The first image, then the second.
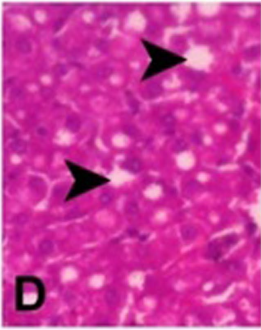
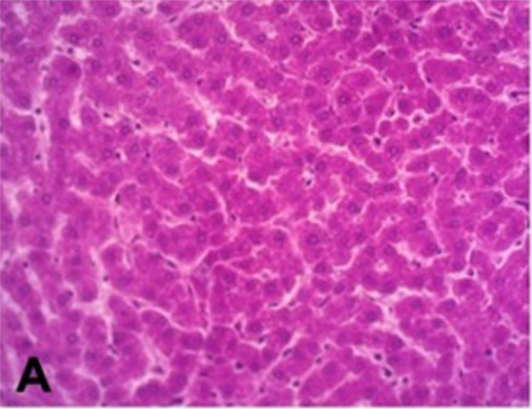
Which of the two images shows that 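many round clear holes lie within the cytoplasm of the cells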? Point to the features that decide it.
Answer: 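First image: numerous round clear holes of varying size dot the pink cytoplasm. Second image: the cytoplasm is evenly pink without clear round holes. On this evidence: the first image.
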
